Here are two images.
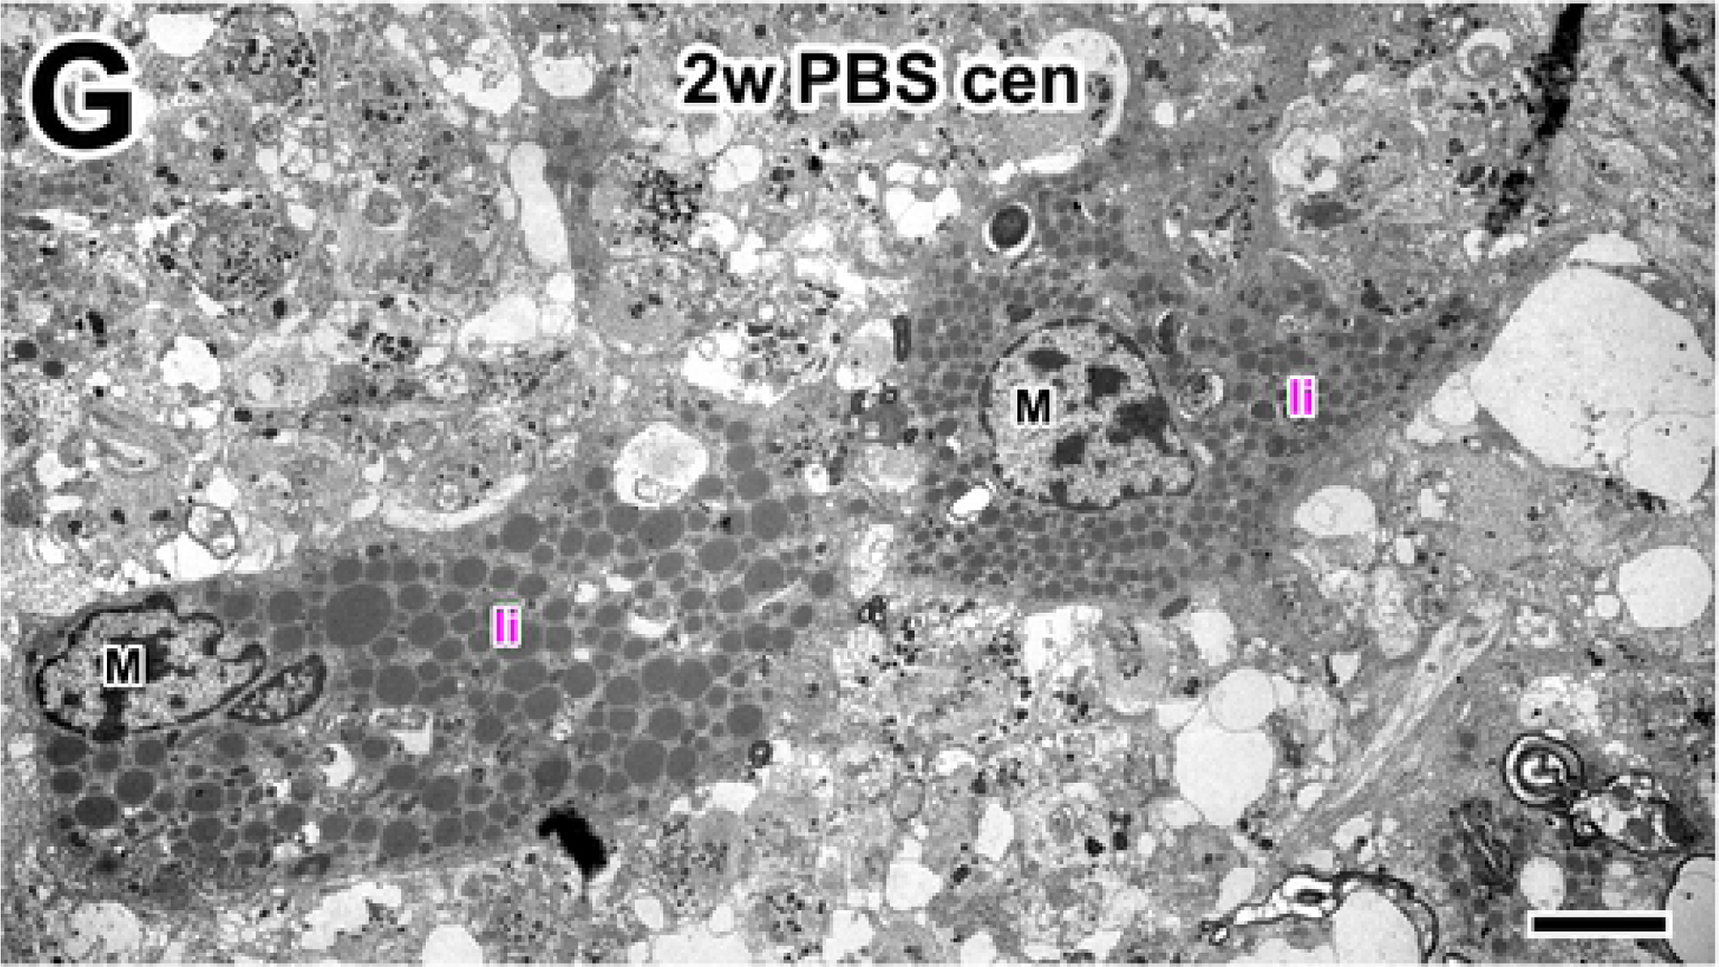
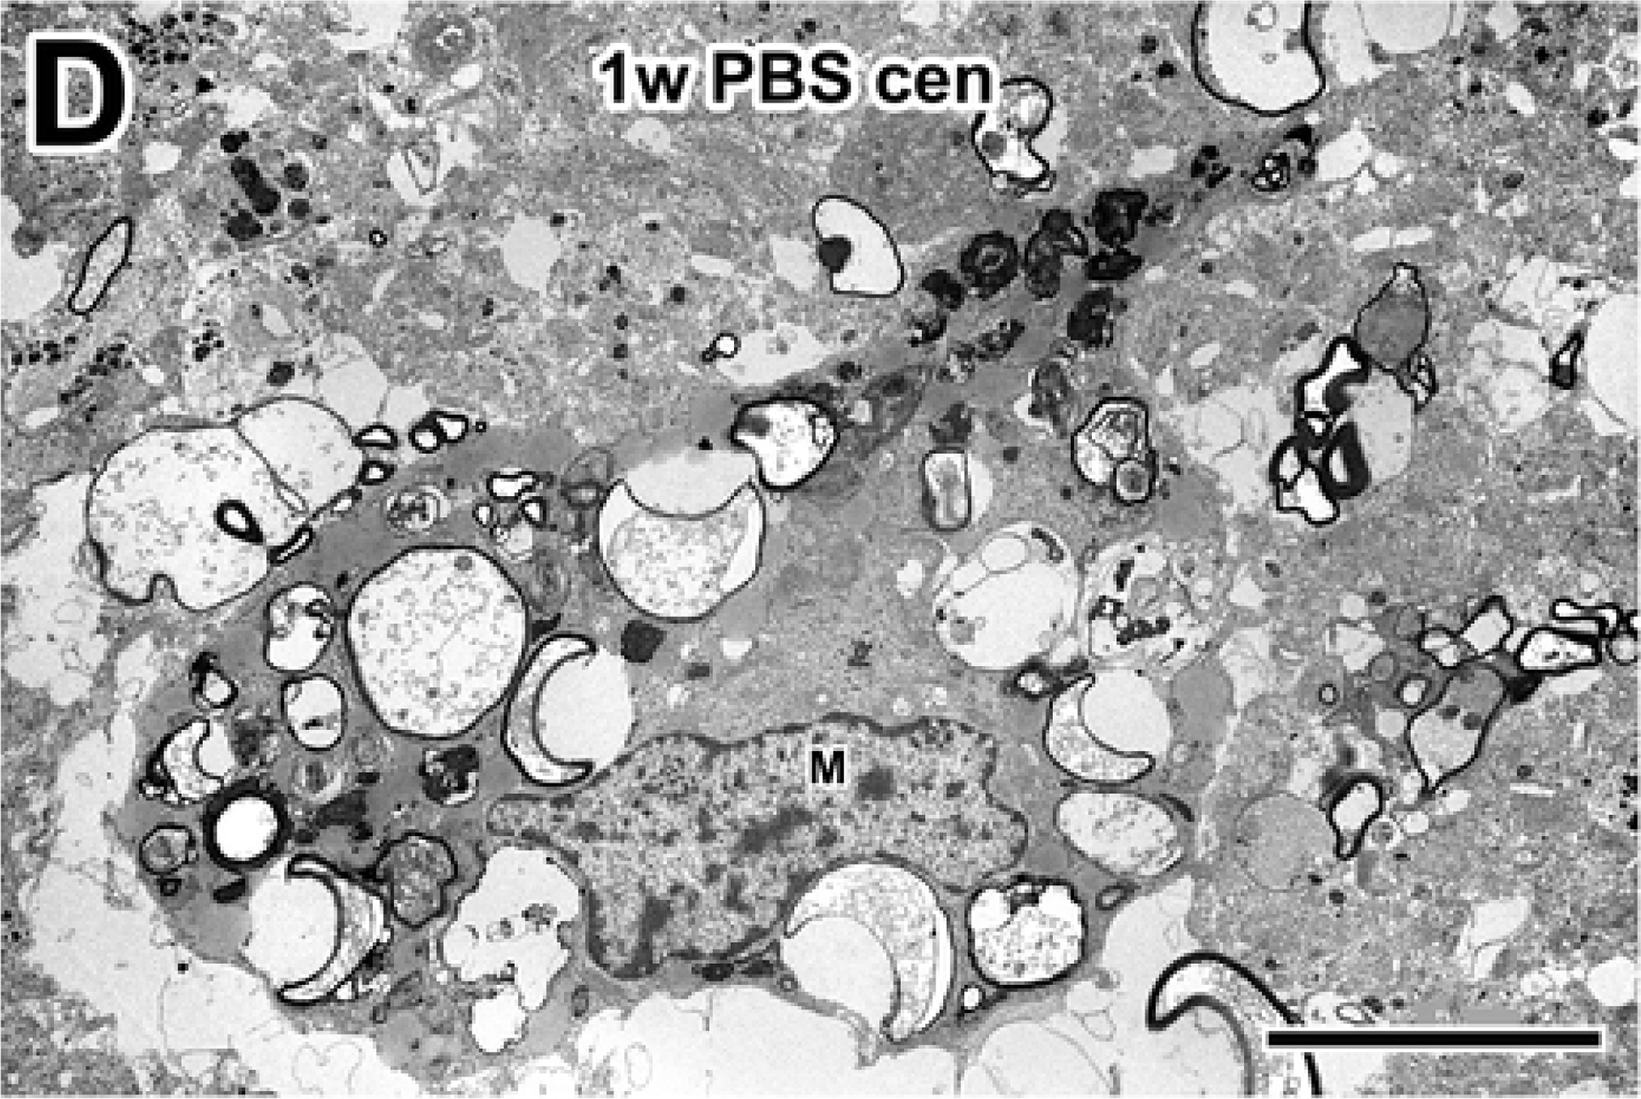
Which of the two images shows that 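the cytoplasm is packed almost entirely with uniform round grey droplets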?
The first image.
